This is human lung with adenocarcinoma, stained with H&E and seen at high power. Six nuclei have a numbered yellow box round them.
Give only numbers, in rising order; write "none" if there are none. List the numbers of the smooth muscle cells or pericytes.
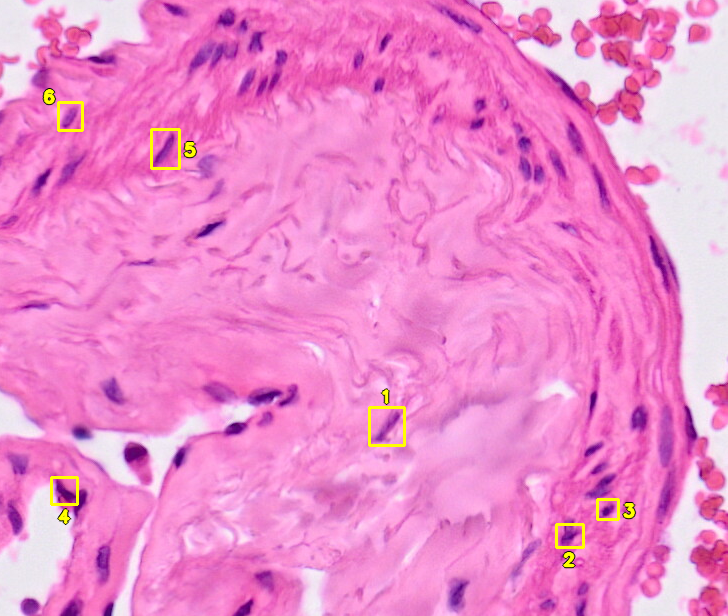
2, 3, 5, 6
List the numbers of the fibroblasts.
1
